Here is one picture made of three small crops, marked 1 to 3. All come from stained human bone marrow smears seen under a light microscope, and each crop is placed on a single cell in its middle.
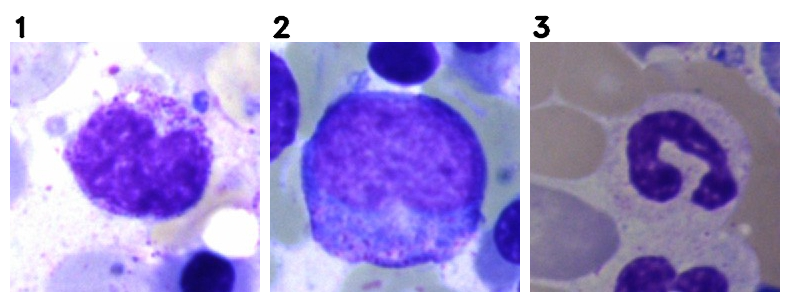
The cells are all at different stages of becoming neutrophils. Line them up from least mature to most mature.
2, 1, 3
